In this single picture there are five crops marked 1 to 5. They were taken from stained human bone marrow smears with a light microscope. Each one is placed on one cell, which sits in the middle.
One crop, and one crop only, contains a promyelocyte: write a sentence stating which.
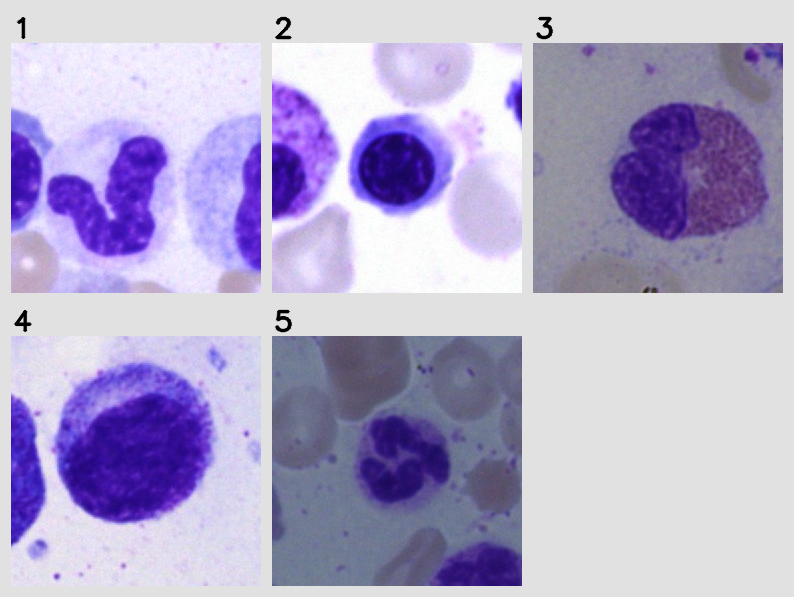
The requested cell, a promyelocyte, is the one in crop 4.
